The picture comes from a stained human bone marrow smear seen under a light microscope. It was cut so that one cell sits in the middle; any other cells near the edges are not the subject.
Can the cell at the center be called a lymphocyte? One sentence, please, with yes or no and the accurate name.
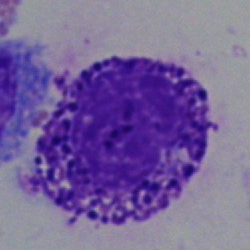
No, rather than a lymphocyte, the central cell is a basophil.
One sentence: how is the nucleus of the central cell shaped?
Please observe that the nucleus consists of one compact round, oval or kidney-shaped mass.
